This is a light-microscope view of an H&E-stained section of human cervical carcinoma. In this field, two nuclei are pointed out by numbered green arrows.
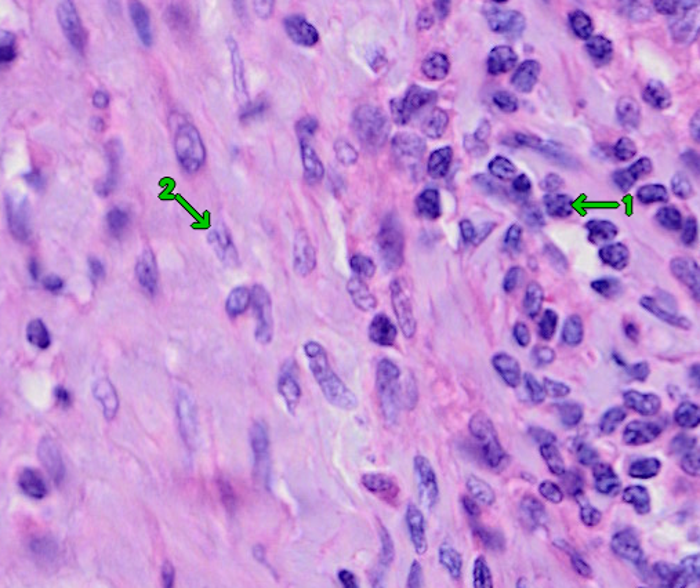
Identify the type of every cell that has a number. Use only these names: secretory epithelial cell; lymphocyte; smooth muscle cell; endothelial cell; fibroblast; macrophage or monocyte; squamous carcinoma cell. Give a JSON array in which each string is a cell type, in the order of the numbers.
["lymphocyte", "fibroblast"]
